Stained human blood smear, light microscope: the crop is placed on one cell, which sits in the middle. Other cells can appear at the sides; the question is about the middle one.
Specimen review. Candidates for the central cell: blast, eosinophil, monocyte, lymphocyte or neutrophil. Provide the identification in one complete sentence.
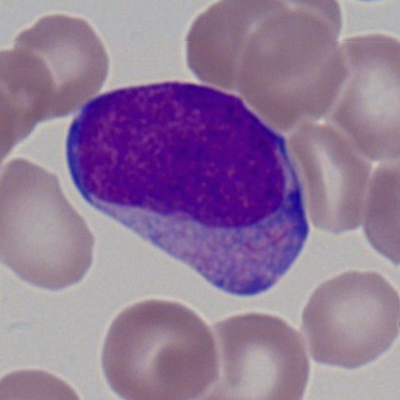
At the middle of the frame sits a blast.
